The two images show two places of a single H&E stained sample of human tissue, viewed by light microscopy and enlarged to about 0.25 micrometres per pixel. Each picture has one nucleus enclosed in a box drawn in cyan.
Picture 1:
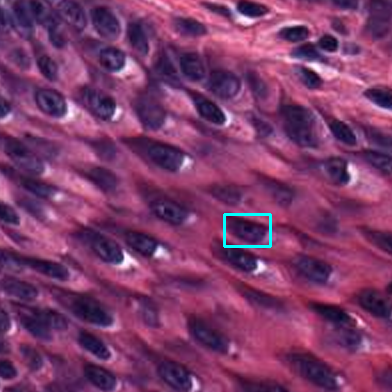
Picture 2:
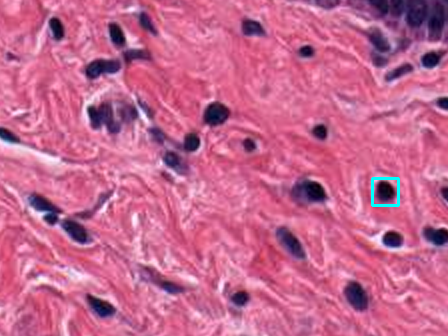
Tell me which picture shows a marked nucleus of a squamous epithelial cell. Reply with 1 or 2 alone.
1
